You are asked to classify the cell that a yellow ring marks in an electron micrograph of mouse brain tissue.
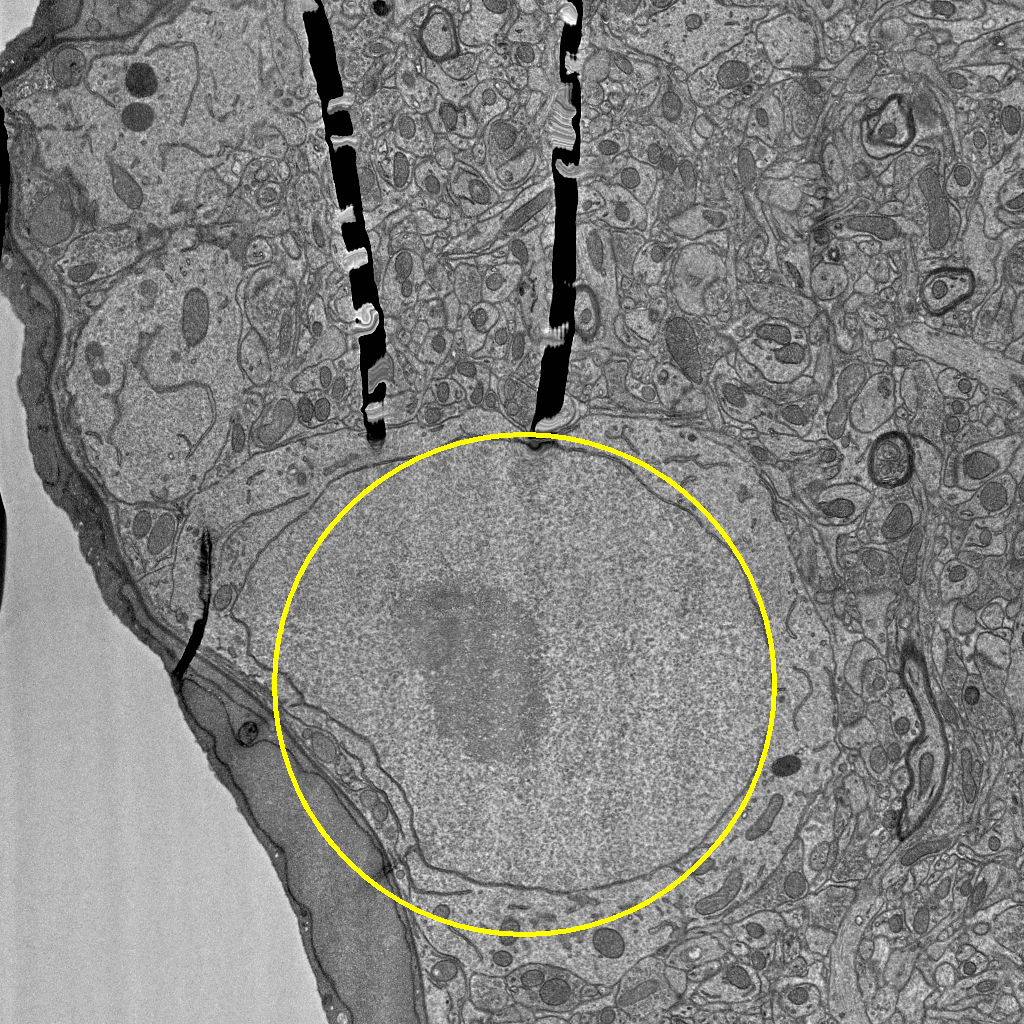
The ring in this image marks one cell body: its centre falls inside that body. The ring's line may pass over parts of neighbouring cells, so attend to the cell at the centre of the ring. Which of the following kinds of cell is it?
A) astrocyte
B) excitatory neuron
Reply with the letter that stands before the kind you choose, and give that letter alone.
B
